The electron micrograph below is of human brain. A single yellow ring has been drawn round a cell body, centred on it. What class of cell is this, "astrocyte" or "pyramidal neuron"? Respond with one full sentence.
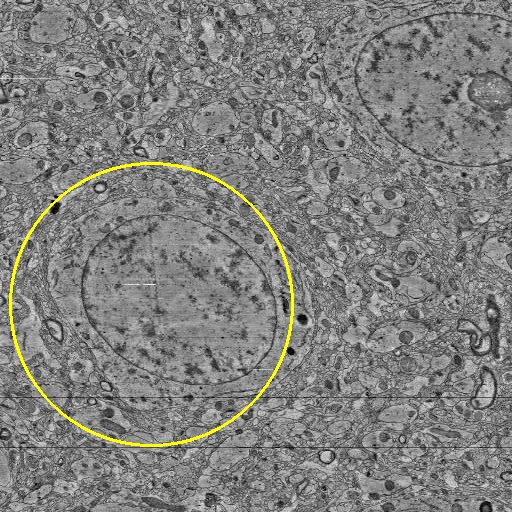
In the micrograph, the cell centred inside the yellow ring is a pyramidal neuron.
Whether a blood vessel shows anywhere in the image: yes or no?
No, no vessel appears in the picture.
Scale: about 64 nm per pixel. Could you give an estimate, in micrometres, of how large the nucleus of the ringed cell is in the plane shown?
The nucleus works out at approximately 13 by 10 micrometres in this plane.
